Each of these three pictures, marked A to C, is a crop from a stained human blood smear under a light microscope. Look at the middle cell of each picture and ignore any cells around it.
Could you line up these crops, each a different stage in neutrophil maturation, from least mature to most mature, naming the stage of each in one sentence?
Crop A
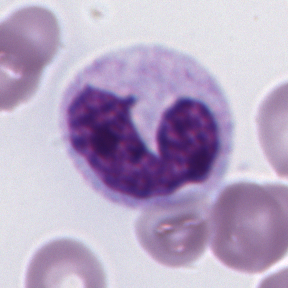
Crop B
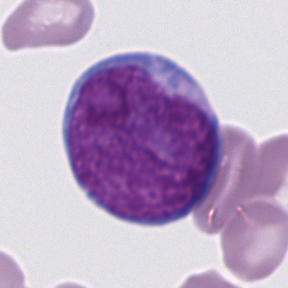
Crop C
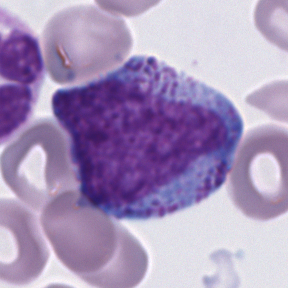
The order of the crops by rising maturity is crop B (a blast), crop C (a promyelocyte) and crop A (a band neutrophil).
